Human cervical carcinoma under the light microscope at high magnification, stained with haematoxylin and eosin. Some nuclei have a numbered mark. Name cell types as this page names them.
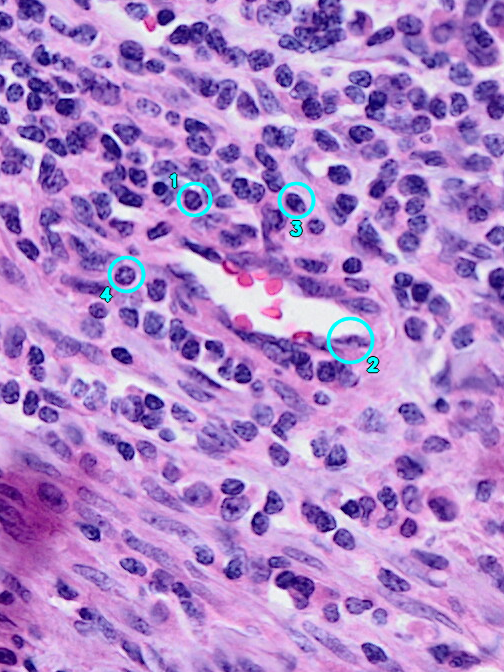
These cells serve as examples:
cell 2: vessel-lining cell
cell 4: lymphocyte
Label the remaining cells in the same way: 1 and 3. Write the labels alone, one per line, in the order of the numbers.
lymphocyte
lymphocyte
